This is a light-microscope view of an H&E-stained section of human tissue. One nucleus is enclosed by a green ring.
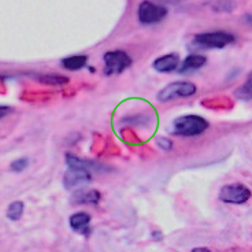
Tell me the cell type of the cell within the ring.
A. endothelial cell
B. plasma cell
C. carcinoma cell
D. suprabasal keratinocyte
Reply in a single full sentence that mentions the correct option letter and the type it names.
Option A is accurate, for the cell within the ring is an endothelial cell.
